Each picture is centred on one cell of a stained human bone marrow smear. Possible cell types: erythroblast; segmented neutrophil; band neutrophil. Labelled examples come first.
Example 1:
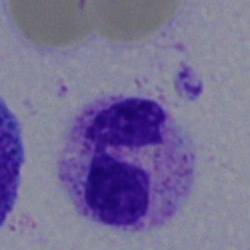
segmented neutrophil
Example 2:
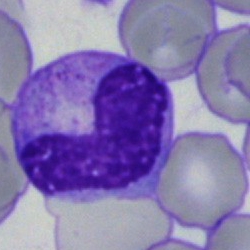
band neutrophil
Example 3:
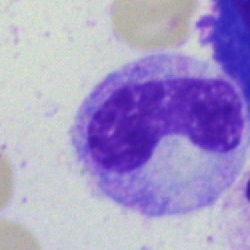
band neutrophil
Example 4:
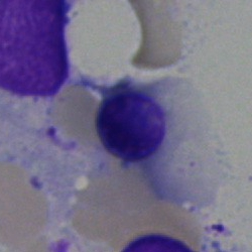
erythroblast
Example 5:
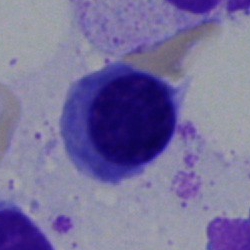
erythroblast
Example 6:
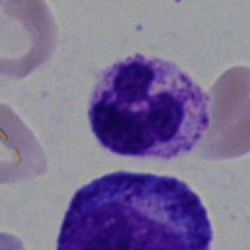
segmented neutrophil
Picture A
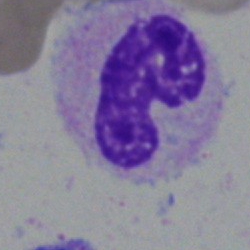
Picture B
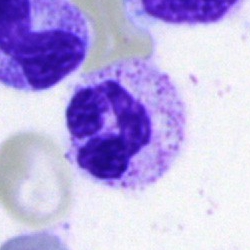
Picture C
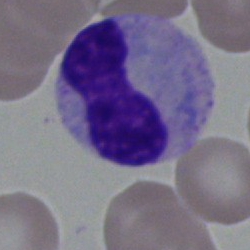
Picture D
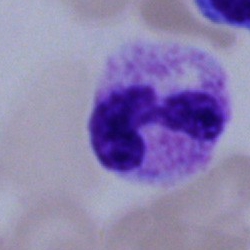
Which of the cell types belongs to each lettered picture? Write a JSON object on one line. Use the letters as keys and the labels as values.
{"A": "band neutrophil", "B": "segmented neutrophil", "C": "band neutrophil", "D": "segmented neutrophil"}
